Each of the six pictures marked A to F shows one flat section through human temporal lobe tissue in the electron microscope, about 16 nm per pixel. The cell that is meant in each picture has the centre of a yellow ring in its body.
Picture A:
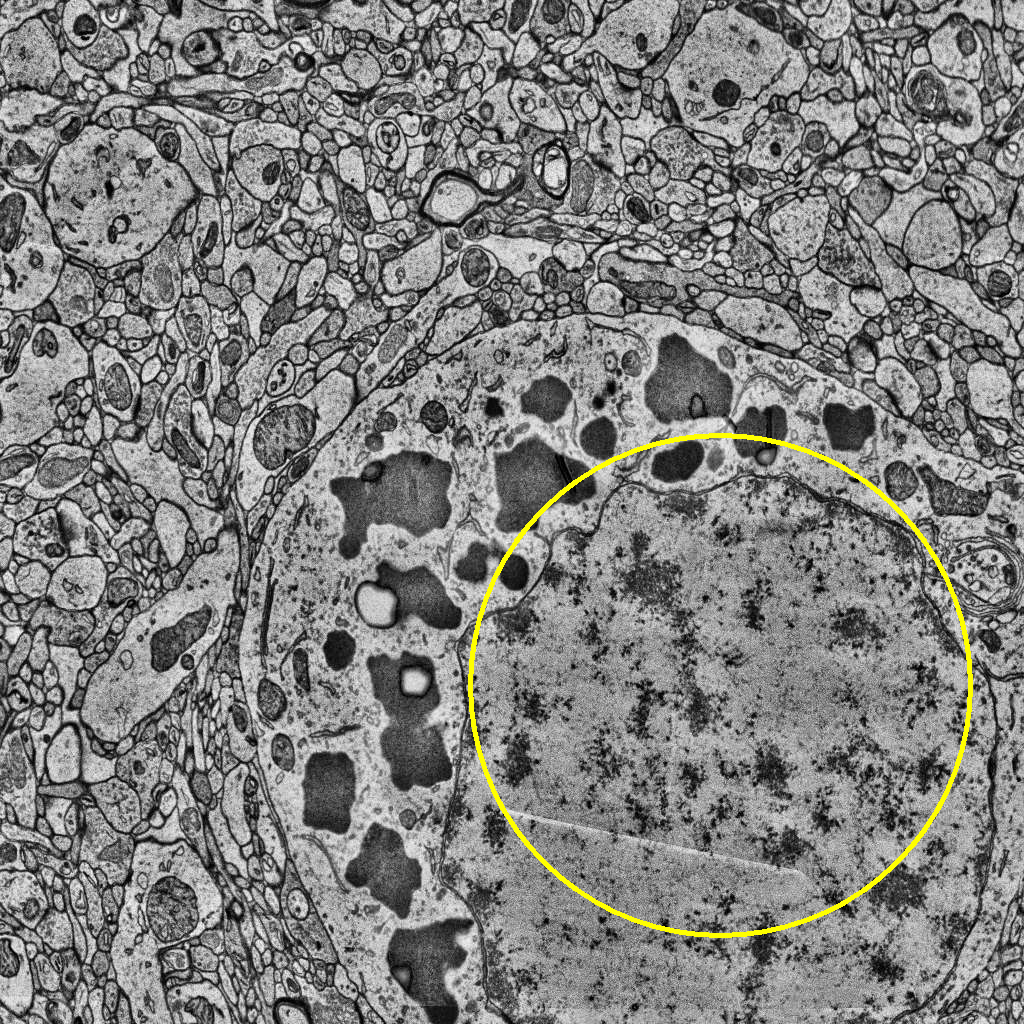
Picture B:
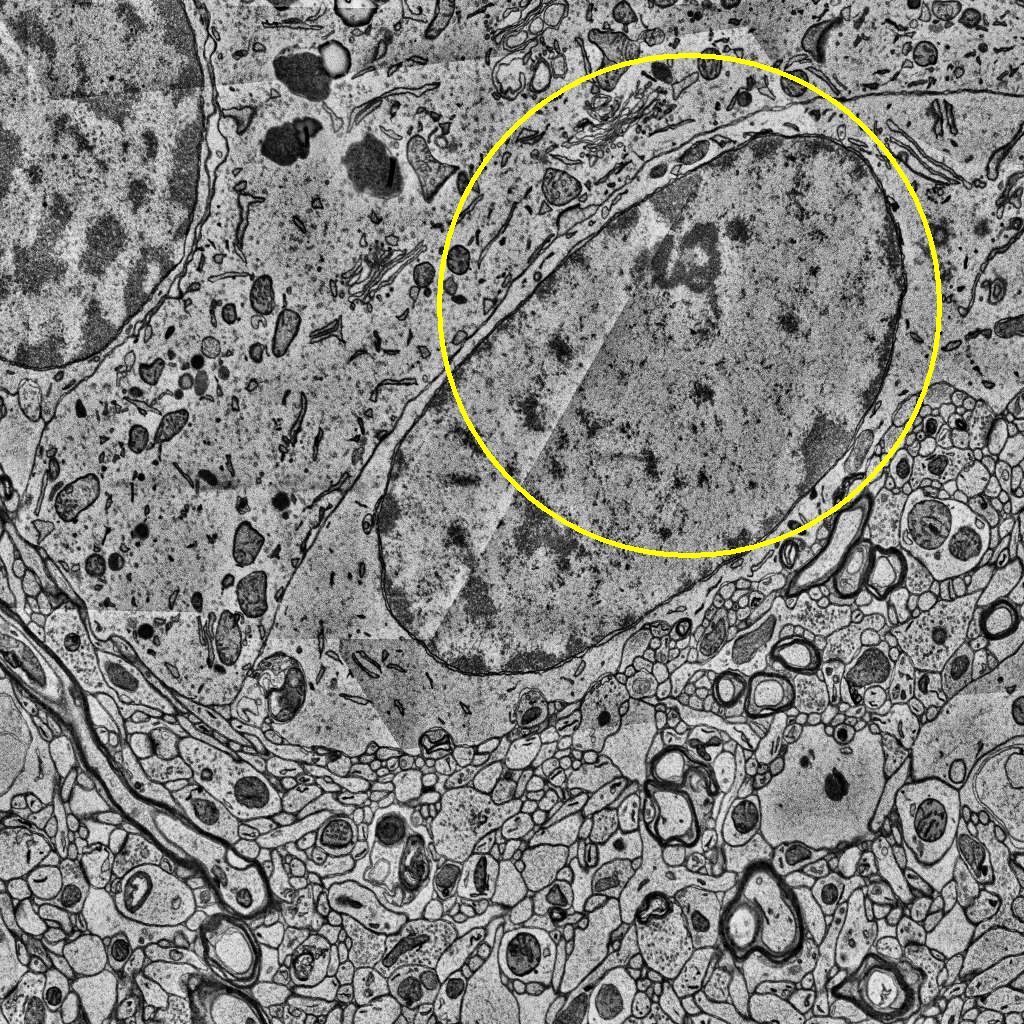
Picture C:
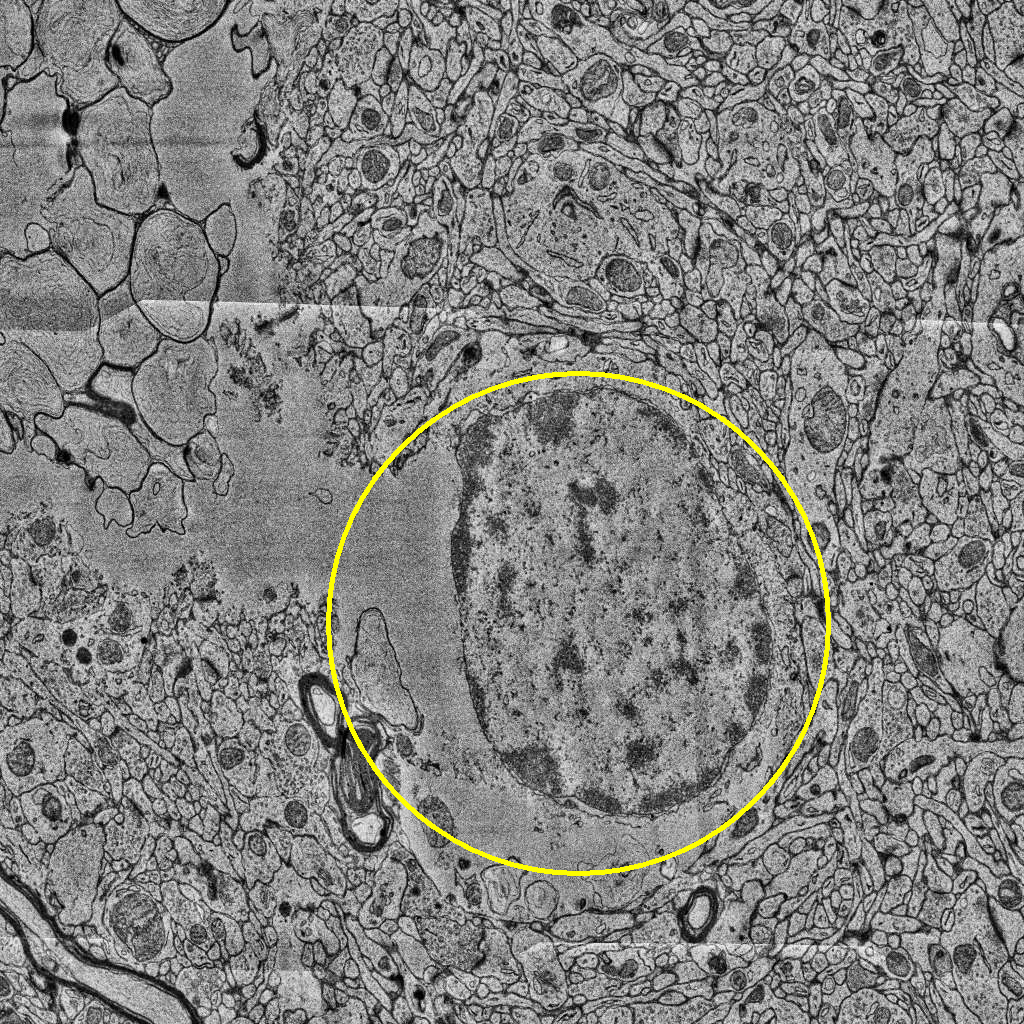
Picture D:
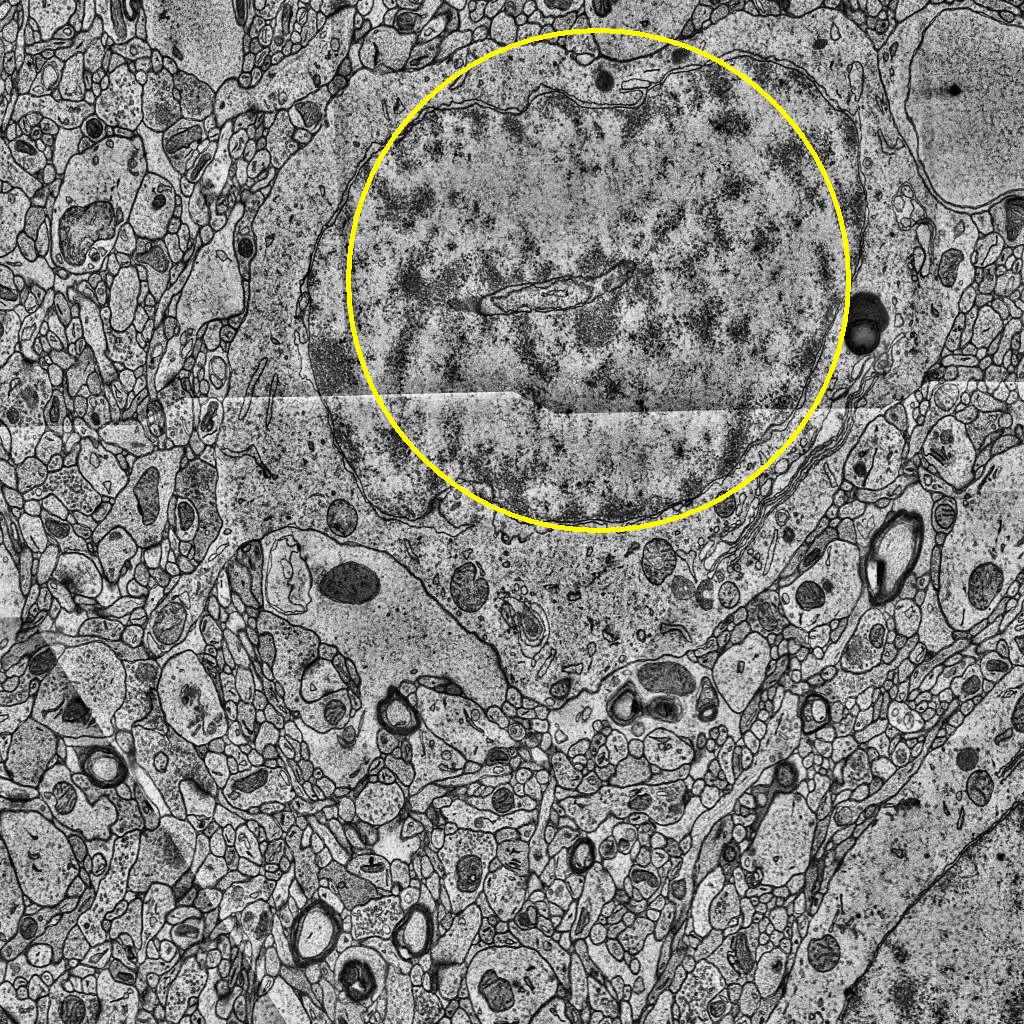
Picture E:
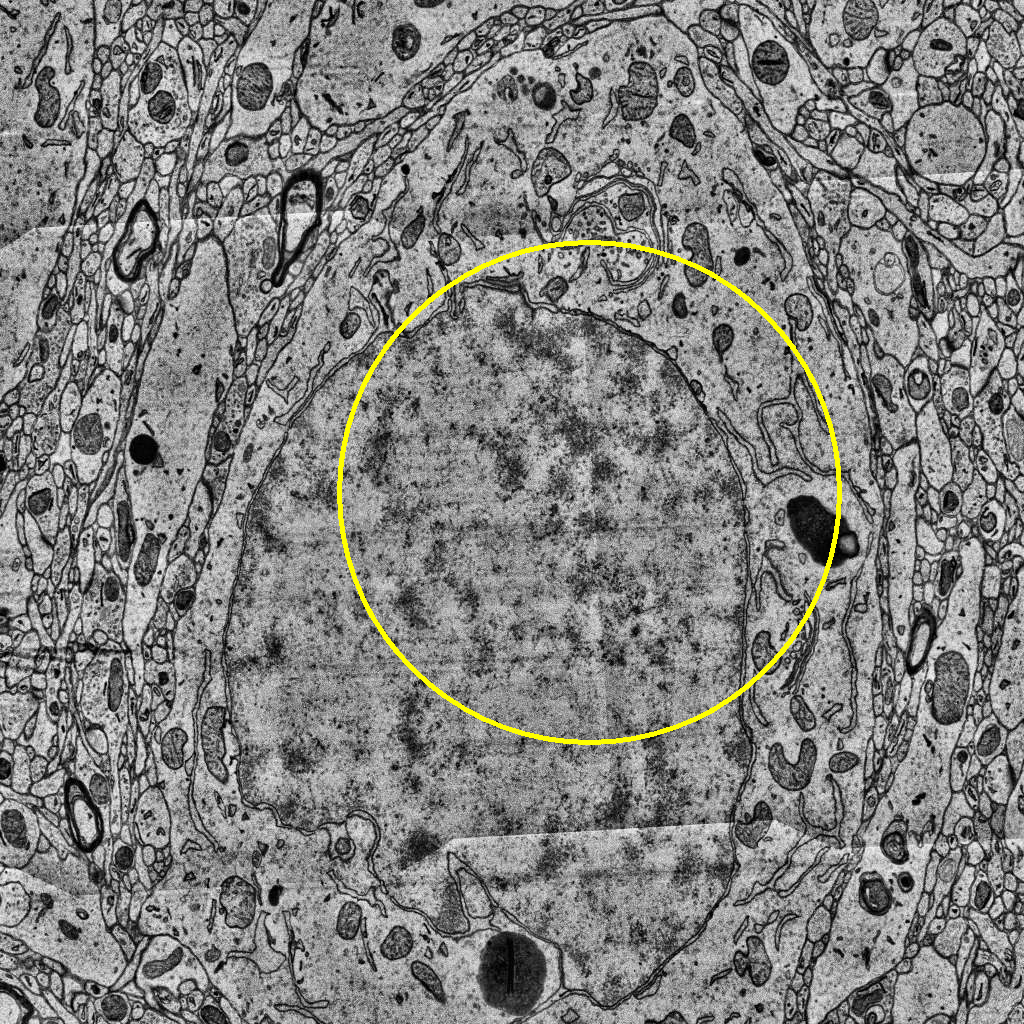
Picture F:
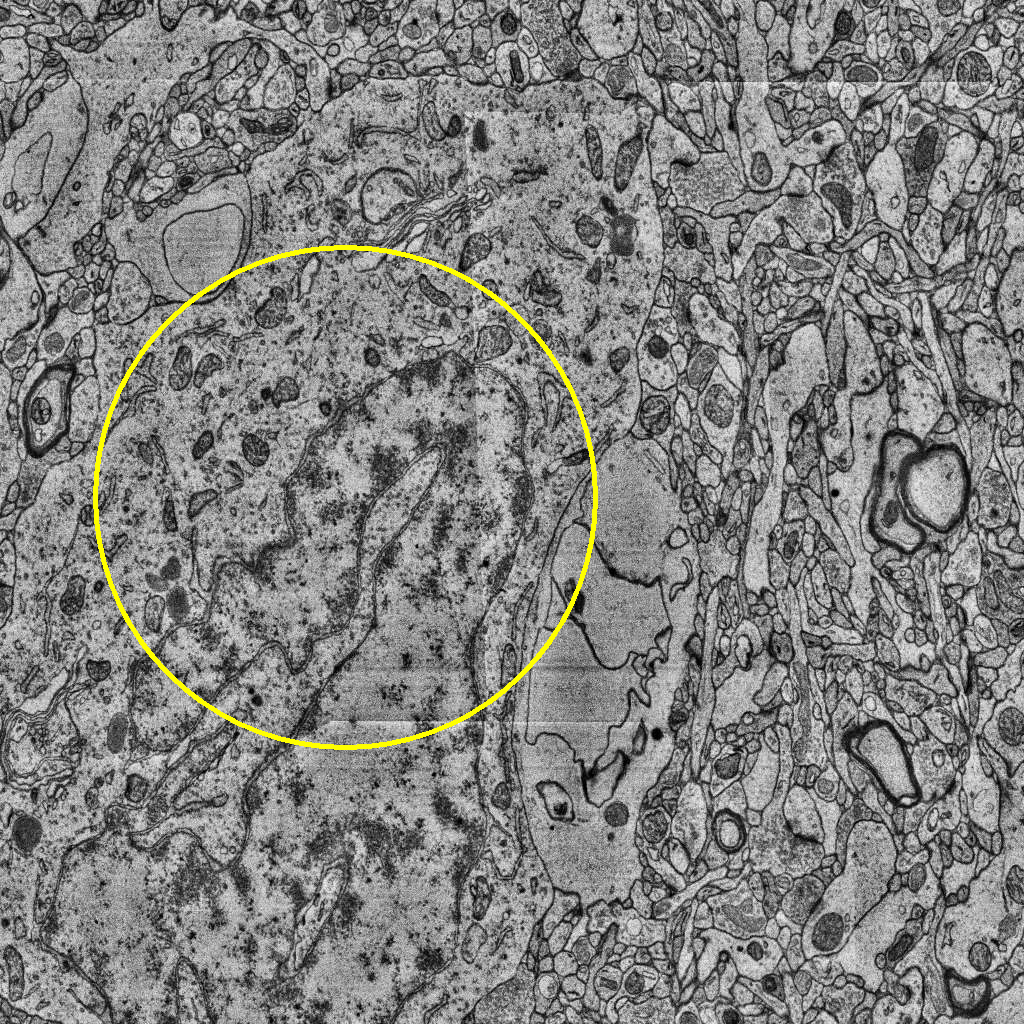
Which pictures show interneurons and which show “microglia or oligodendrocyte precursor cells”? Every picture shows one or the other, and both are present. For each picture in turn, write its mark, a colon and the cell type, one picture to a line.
A: interneuron
B: microglia or oligodendrocyte precursor cell
C: microglia or oligodendrocyte precursor cell
D: interneuron
E: interneuron
F: interneuron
